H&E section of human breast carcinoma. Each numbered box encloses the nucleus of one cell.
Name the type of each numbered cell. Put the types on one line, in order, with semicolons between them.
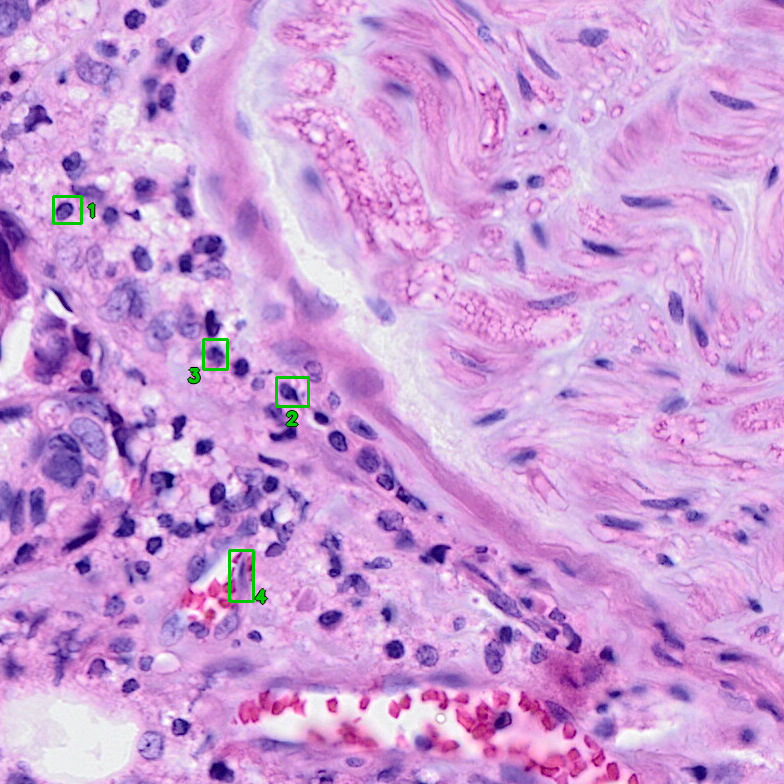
lymphocyte; lymphocyte; lymphocyte; endothelial cell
